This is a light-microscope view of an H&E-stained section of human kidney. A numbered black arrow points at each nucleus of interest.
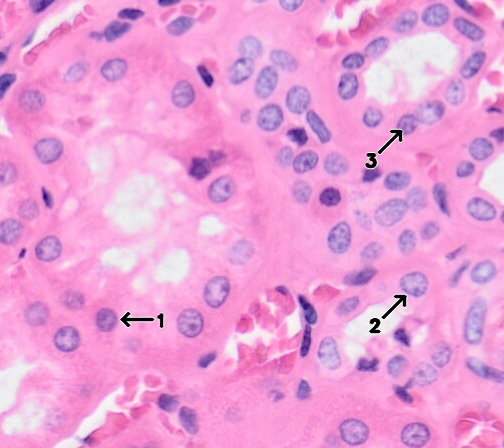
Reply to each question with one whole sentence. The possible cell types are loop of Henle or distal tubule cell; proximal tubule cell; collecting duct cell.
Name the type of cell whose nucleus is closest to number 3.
It is a collecting duct cell whose nucleus is nearest to number 3.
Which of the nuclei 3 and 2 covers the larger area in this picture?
It is nucleus 2, which covers about 1.5 times the area of nucleus 3.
